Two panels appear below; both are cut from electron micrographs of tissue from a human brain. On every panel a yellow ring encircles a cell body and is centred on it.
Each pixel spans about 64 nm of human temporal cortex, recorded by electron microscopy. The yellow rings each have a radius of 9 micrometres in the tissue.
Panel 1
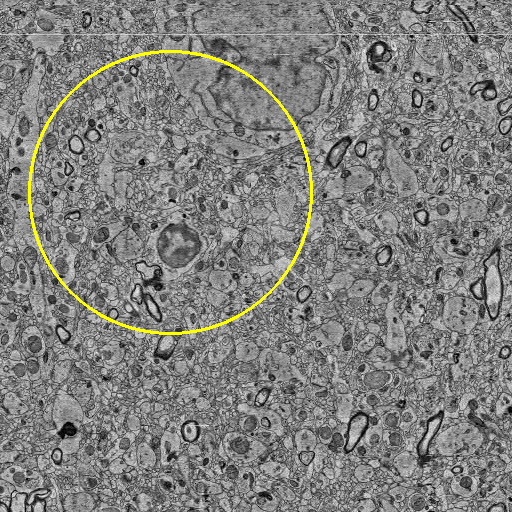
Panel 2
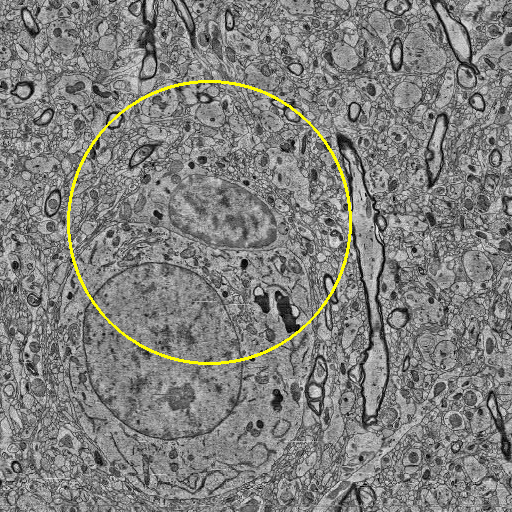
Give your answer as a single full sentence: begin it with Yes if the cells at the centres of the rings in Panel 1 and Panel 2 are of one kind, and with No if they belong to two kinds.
No, the cells in the middle of the rings in Panels 1 and 2 are of two kinds.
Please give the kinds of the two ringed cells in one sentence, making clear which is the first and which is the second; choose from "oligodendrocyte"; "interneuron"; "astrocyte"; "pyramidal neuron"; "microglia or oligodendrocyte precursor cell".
In the second picture the ringed cell is an oligodendrocyte; in the first it is a microglial cell or oligodendrocyte precursor cell.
